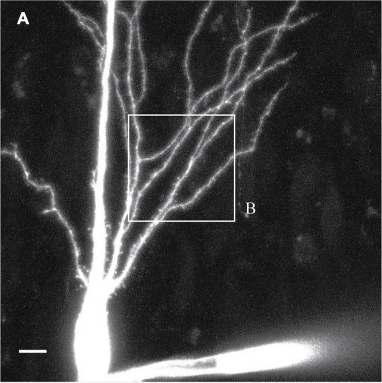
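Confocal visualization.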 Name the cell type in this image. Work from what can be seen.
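Pyramidal neuron. A bright cell body at the bottom gives rise to one thick main dendrite running upward. The main dendrite branches into many thinner oblique and distal branches.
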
